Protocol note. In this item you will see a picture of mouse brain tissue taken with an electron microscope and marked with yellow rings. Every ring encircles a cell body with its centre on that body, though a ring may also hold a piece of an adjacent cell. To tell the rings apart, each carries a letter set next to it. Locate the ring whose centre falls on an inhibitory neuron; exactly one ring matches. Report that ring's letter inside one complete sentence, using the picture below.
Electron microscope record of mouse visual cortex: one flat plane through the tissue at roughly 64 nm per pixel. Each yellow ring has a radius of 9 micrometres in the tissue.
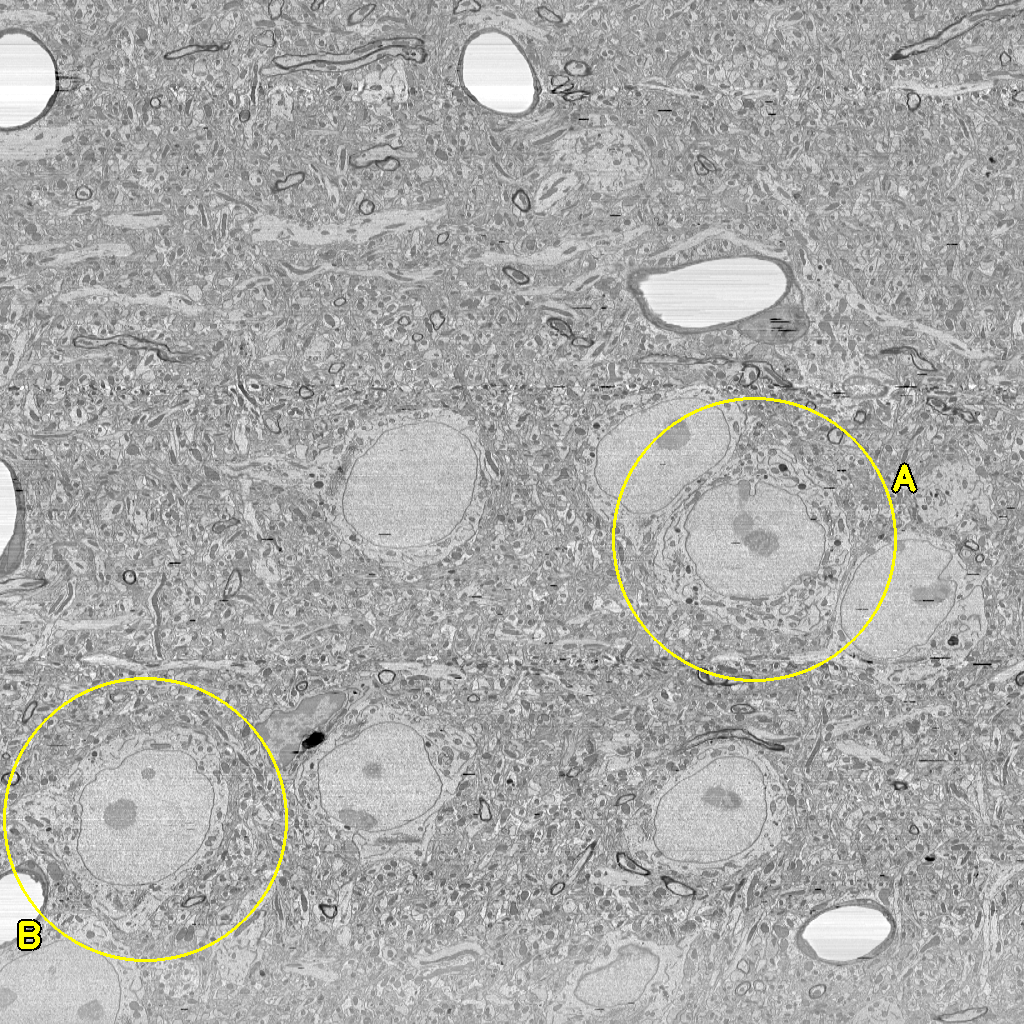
My answer is A, the ring whose centre falls on that kind of cell.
